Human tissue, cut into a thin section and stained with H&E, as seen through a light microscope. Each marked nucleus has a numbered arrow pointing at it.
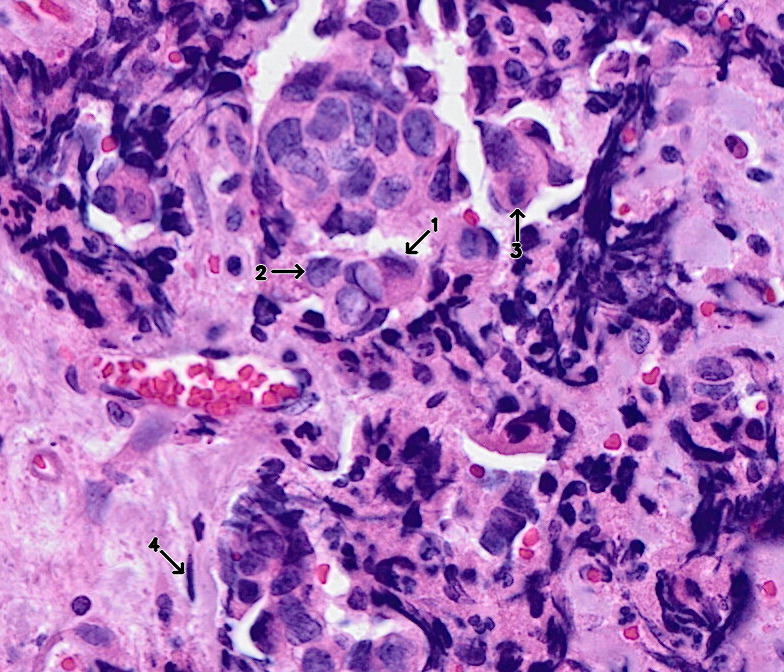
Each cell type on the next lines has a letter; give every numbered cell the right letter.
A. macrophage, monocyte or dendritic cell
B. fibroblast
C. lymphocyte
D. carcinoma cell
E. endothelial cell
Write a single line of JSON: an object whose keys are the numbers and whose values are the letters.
{"1": "D", "2": "D", "3": "D", "4": "B"}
